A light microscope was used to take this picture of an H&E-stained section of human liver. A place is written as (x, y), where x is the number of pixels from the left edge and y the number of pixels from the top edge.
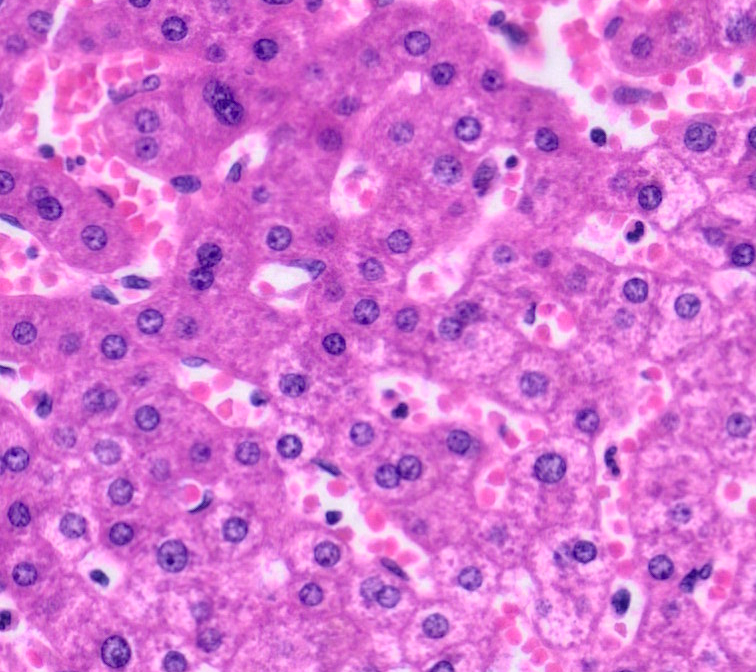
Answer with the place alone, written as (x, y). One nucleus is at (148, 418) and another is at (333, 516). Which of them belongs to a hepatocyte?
(148, 418)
